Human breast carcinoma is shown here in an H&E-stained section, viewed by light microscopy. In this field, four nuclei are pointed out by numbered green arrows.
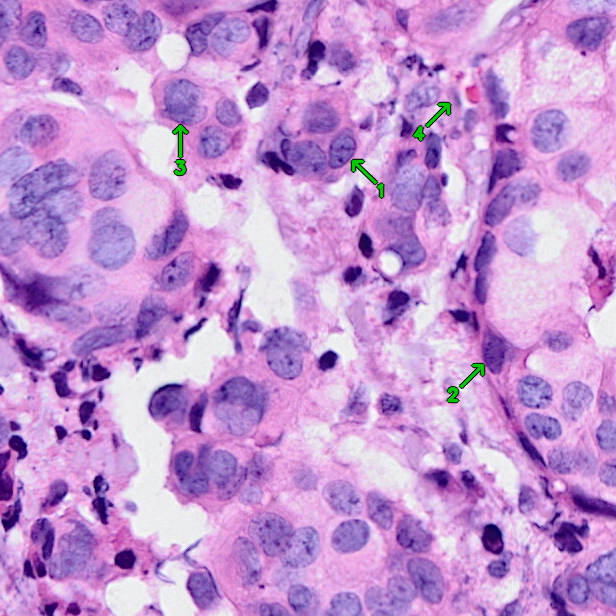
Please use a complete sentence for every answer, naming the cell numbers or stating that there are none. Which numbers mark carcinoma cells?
The cells marked by the numbers 1, 2 and 3 are carcinoma cells.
